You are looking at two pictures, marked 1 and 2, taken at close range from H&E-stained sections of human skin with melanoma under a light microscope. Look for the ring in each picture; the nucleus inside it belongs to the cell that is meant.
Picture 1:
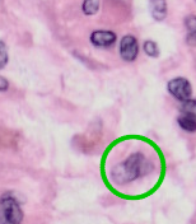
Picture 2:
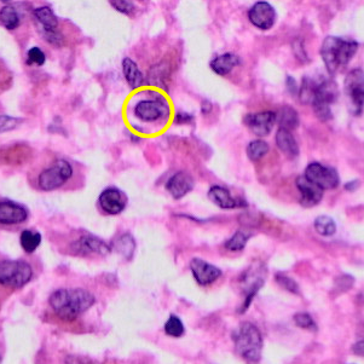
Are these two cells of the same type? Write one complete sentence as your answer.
Yes, they are the same type: both are “macrophages or monocytes”.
